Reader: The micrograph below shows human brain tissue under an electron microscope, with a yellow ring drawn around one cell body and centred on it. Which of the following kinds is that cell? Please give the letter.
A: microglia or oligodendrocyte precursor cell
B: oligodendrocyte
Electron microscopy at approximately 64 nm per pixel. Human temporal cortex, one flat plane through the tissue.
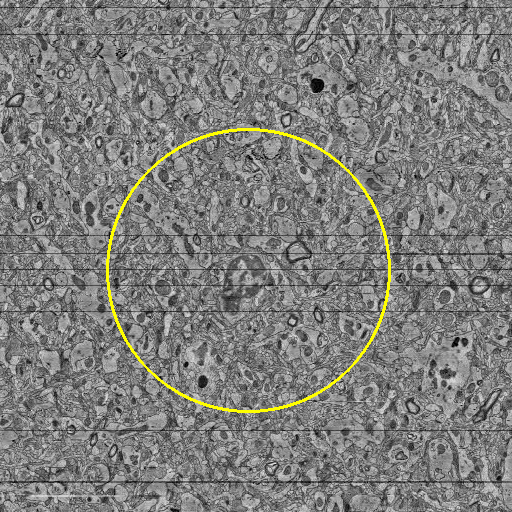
A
